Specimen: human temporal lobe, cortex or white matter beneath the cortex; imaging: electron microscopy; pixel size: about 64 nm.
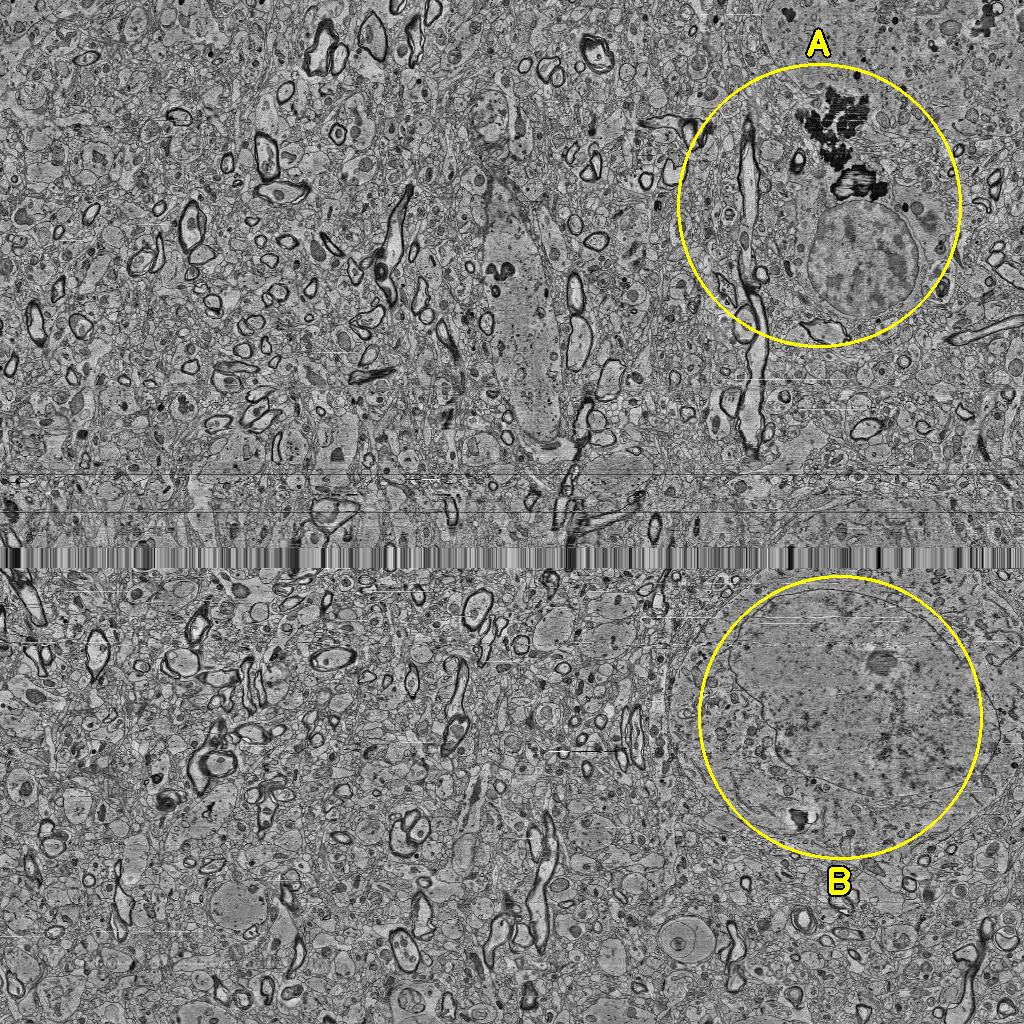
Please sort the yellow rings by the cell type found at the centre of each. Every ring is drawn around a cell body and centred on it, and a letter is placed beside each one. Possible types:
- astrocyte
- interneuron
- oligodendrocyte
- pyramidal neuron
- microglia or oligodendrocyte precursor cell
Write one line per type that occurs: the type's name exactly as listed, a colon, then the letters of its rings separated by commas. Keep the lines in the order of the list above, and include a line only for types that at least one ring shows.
oligodendrocyte: A
pyramidal neuron: B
